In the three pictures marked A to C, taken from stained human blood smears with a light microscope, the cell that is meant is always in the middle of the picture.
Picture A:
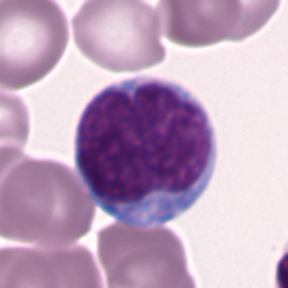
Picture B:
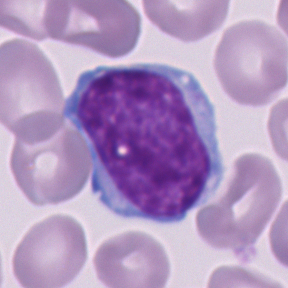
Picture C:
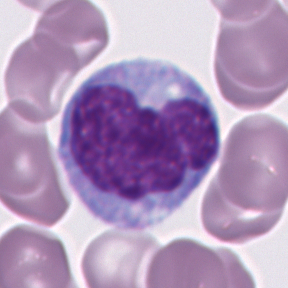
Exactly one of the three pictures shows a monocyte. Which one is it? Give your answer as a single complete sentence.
The picture with the monocyte is C.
